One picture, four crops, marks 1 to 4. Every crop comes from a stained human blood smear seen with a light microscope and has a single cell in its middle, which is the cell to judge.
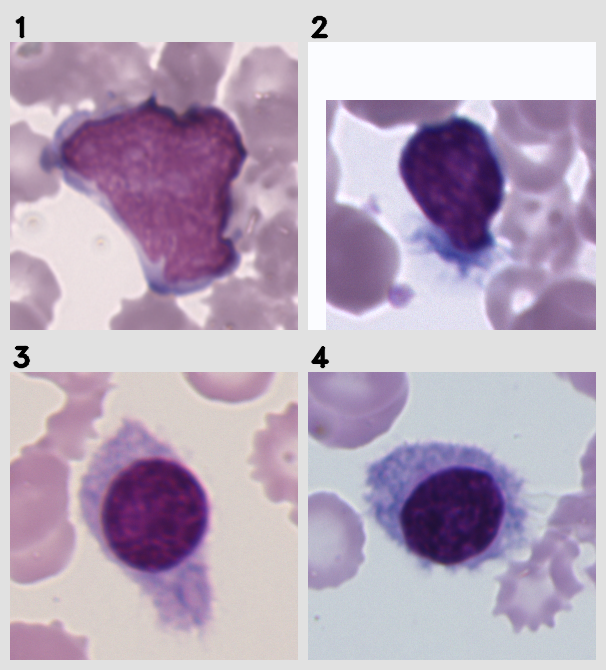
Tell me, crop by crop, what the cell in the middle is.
1: myeloblast
2: typical lymphocyte
3: hairy cell
4: hairy cell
